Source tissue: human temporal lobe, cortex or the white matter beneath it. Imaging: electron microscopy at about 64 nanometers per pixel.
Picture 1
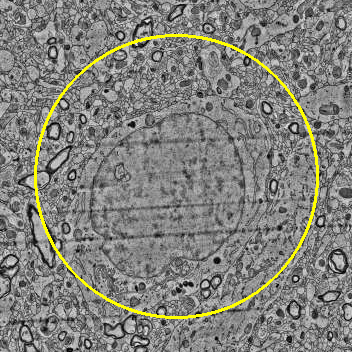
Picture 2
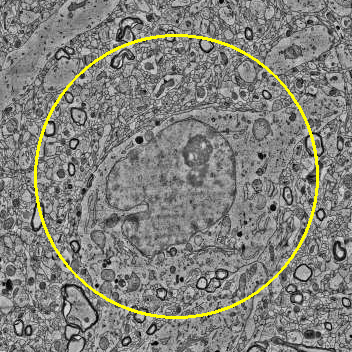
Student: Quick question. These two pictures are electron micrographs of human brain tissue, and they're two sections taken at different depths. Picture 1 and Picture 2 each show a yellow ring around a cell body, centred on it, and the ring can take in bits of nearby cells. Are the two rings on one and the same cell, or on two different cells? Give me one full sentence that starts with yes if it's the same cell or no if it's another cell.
Yes, the two marked outlines come from one and the same cell.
